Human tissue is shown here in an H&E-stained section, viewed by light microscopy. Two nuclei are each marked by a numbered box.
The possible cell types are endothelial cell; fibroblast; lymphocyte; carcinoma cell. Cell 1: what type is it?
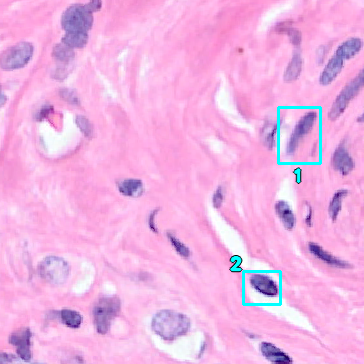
endothelial cell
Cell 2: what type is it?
lymphocyte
